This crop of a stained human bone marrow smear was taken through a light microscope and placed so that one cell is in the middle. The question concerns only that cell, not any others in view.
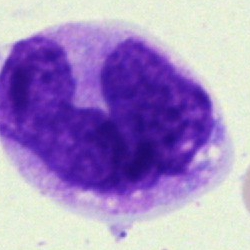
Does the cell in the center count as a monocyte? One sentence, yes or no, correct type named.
Yes, it is a monocyte that occupies the centre of the crop.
